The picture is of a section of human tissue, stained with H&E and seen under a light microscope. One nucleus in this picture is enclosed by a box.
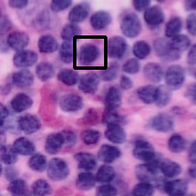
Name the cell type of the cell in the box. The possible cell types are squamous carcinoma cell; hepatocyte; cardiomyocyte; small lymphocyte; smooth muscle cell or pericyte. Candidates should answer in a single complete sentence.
It is as a small lymphocyte that the cell in the box is classified.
